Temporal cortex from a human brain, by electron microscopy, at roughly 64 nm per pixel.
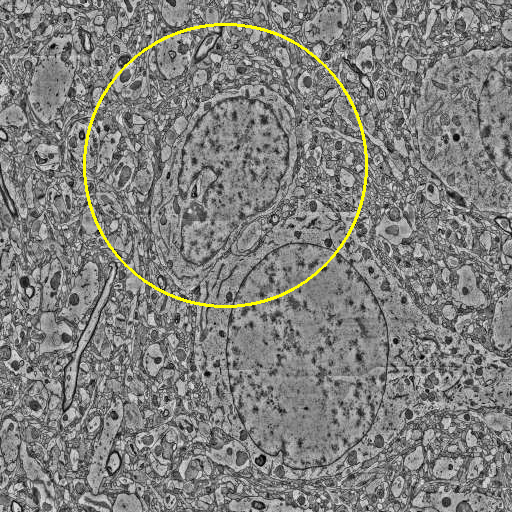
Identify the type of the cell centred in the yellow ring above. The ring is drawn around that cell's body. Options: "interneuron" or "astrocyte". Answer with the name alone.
interneuron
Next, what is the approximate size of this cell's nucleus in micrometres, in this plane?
Roughly 10 by 7 micrometres is the size of the nucleus in this plane.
